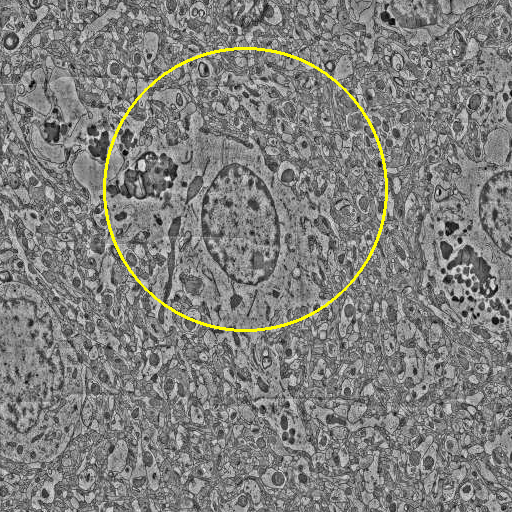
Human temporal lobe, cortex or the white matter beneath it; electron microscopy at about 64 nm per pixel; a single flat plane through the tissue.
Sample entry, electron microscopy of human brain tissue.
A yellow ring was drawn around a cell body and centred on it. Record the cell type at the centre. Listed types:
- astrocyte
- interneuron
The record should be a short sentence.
The cell at the ring's centre is an astrocyte.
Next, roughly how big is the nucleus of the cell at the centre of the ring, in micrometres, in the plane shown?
About 8 by 5 micrometres; in this plane the nucleus is clearly longer than it is wide.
